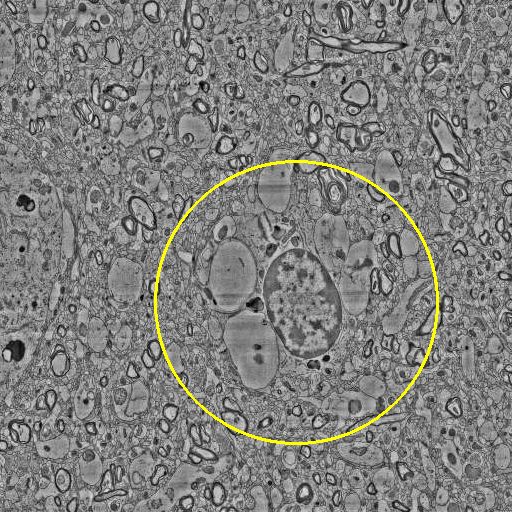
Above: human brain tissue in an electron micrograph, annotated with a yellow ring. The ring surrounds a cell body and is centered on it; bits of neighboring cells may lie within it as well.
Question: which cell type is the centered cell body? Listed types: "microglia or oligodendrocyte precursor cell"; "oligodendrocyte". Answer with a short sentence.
The centered cell body is a microglial cell or oligodendrocyte precursor cell.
